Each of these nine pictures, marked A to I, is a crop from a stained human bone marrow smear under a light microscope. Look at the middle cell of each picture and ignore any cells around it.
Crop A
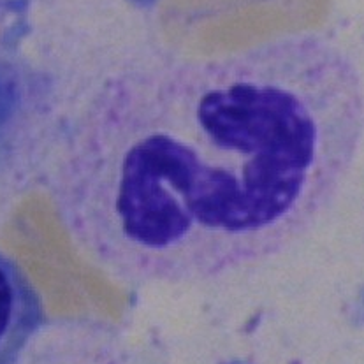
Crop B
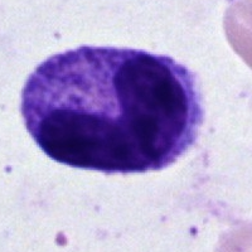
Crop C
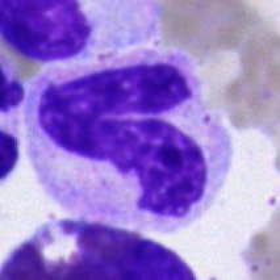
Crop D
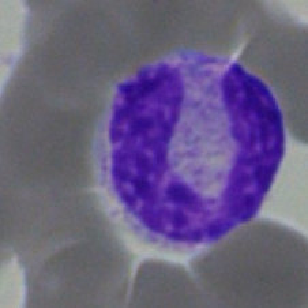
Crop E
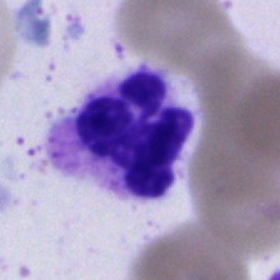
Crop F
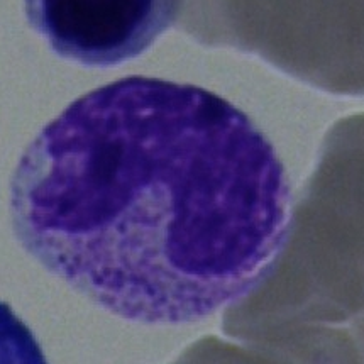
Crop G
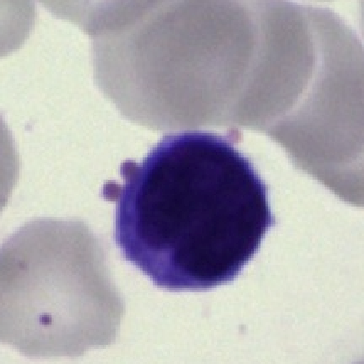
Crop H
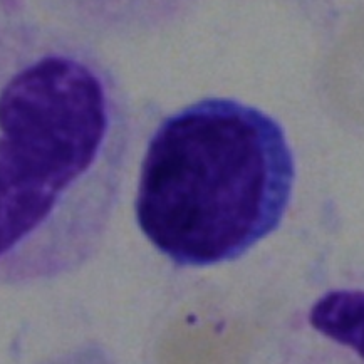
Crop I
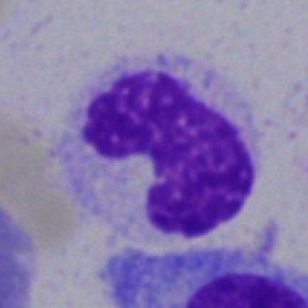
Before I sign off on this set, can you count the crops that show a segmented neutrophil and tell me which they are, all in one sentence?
The crops with segmented neutrophils are A and E, two in total.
